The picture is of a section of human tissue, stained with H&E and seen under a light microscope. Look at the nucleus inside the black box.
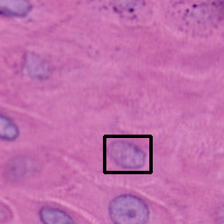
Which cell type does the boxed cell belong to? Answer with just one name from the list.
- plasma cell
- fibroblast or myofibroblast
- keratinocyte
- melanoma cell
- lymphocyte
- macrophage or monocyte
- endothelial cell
keratinocyte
